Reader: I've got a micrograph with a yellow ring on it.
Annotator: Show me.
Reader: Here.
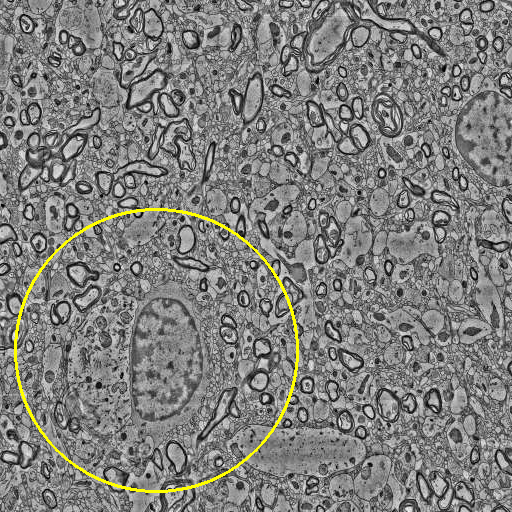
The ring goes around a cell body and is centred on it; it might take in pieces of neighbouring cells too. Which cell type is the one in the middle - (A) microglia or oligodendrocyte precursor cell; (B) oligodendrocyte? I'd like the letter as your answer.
B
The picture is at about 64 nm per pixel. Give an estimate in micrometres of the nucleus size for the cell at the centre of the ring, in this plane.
Roughly 8 micrometres by 5 micrometres, so the nucleus is clearly longer than it is wide in this plane.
